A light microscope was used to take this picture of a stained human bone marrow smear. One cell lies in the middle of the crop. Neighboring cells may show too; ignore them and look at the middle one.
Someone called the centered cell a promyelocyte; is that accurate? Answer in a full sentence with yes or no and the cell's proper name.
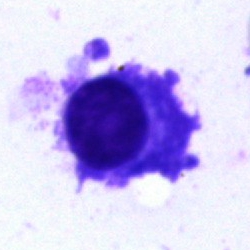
No, that guess of a promyelocyte misses; the central cell is a plasma cell.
